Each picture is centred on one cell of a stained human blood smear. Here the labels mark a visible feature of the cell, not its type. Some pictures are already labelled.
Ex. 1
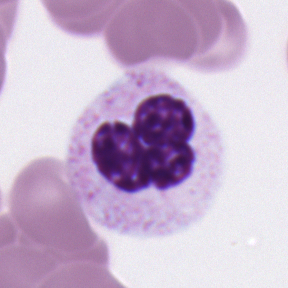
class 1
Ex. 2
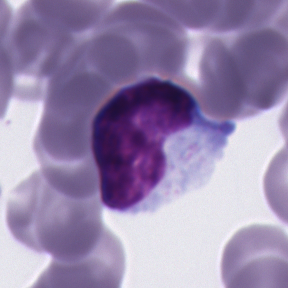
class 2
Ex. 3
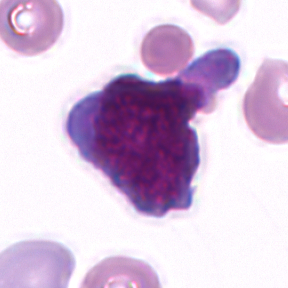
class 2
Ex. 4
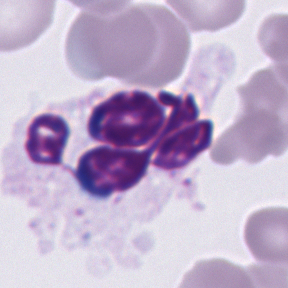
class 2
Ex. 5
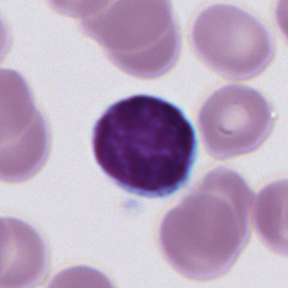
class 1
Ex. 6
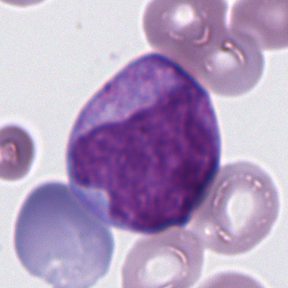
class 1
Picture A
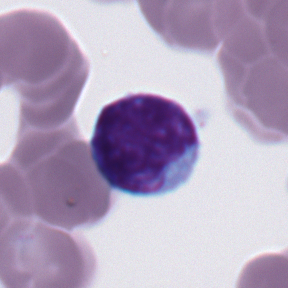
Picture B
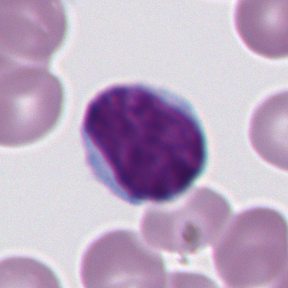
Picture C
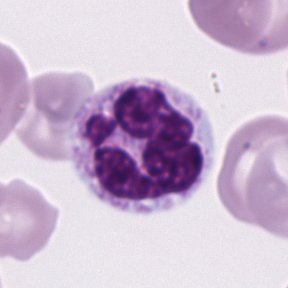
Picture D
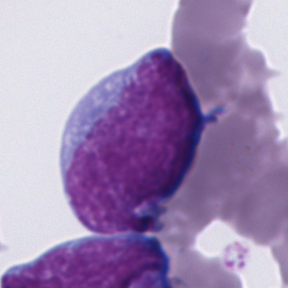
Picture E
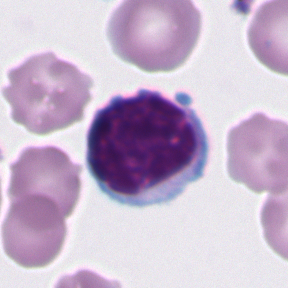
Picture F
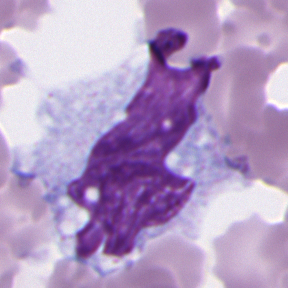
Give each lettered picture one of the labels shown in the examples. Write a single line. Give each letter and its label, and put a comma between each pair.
A class 1, B class 1, C class 1, D class 2, E class 2, F class 2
